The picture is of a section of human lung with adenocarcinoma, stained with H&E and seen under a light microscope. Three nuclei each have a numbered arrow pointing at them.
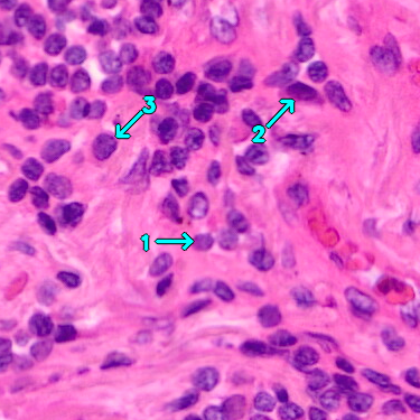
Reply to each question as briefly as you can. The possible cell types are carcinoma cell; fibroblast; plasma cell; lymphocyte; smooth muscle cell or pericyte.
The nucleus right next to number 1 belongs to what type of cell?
lymphocyte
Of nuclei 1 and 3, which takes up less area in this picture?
1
